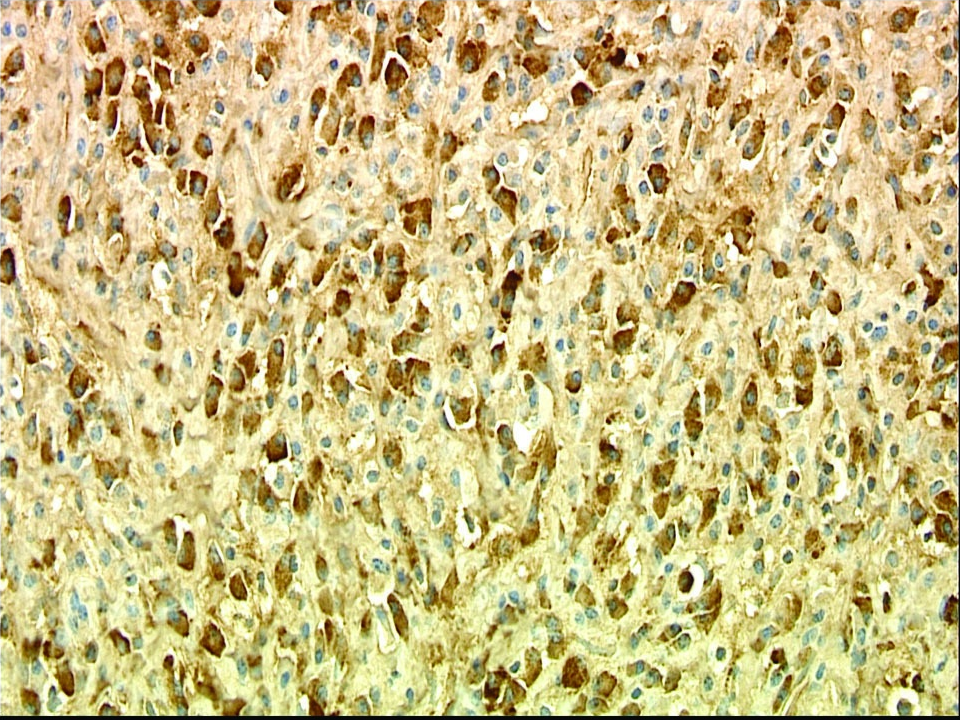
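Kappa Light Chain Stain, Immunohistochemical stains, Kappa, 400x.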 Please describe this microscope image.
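This is a densely cellular tissue in which numerous plasma cells stand out by their dark brown cytoplasm, scattered singly and in loose clusters among paler cells. The stained cells are oval to polygonal, with plentiful cytoplasm and a small round blue nucleus that often lies to one side. Between them lie many unstained cells with pale cytoplasm and oval blue nuclei, set in a faintly yellow-brown background.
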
